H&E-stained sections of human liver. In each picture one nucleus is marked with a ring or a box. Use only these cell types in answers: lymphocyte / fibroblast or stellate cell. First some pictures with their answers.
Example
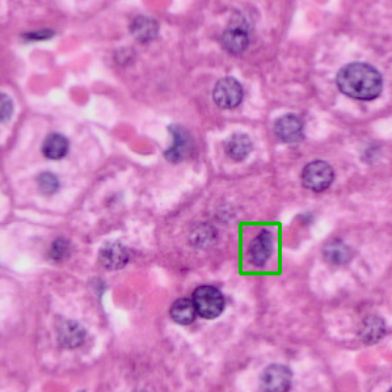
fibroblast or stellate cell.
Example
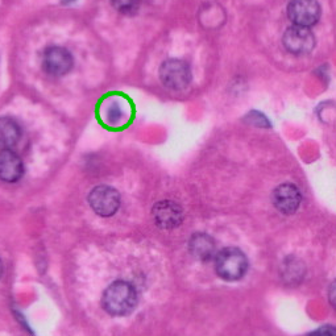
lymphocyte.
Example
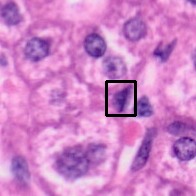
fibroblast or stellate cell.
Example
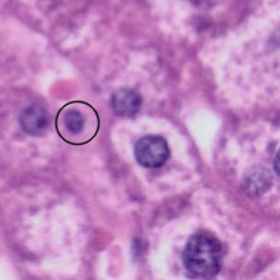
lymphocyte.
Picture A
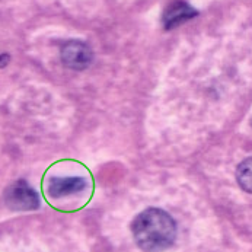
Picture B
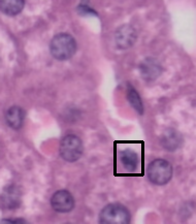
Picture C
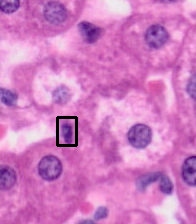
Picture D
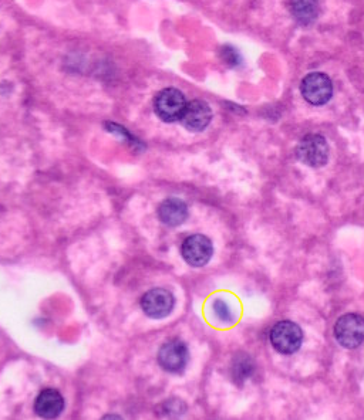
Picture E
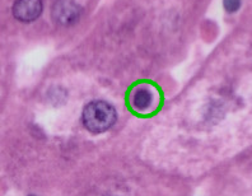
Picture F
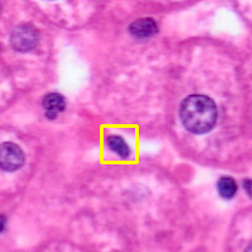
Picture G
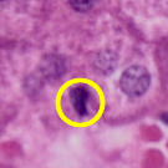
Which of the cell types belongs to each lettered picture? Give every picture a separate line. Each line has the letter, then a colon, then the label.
A: lymphocyte.
B: fibroblast or stellate cell.
C: fibroblast or stellate cell.
D: lymphocyte.
E: lymphocyte.
F: lymphocyte.
G: fibroblast or stellate cell.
